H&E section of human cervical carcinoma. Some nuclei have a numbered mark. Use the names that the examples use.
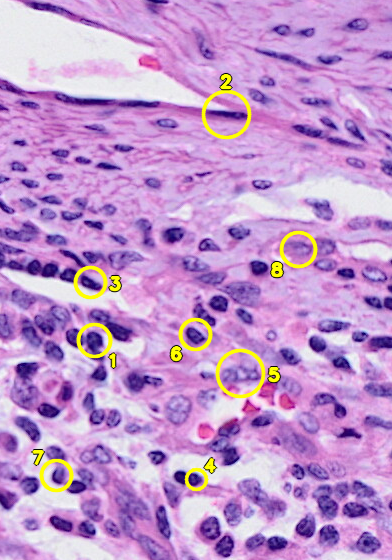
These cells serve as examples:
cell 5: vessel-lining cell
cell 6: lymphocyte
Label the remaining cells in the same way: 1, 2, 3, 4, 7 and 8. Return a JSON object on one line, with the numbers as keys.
{"1": "lymphocyte", "2": "vessel-lining cell", "3": "lymphocyte", "4": "lymphocyte", "7": "lymphocyte", "8": "vessel-lining cell"}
